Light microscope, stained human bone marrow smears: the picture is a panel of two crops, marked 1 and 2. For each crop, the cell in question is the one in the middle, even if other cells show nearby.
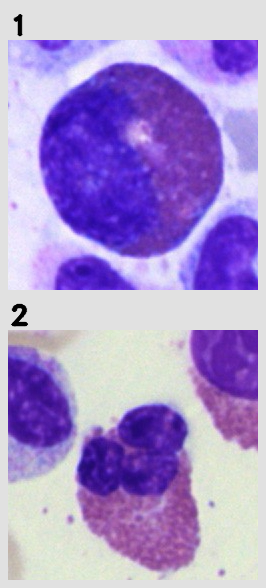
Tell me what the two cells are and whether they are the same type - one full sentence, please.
Yes, eosinophils are depicted in both crops.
